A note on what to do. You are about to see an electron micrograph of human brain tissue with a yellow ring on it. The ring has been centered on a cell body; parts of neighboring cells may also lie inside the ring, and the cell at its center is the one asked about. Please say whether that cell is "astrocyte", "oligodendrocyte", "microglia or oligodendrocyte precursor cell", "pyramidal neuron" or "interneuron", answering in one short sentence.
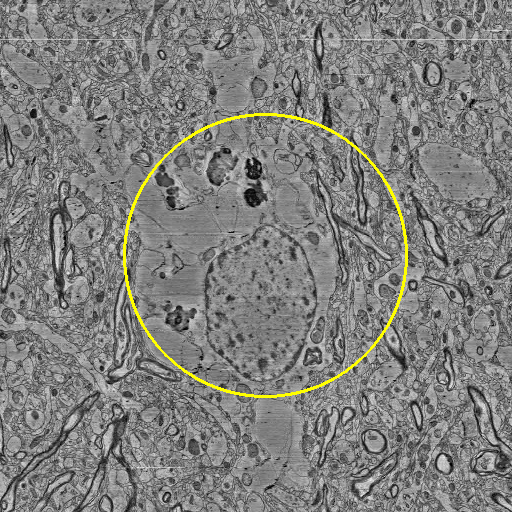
The yellow ring sits on an astrocyte.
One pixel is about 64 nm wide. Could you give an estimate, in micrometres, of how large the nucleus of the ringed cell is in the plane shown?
About 10 by 7 micrometers for the nucleus, in this plane.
